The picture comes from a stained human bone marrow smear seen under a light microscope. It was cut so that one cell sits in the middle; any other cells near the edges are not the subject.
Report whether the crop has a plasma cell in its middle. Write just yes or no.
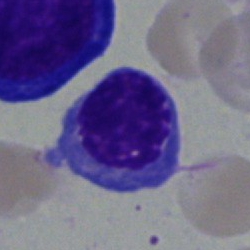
no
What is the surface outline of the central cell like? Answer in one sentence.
The outer contour of the cell is irregular, with ragged portions or projections along it.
